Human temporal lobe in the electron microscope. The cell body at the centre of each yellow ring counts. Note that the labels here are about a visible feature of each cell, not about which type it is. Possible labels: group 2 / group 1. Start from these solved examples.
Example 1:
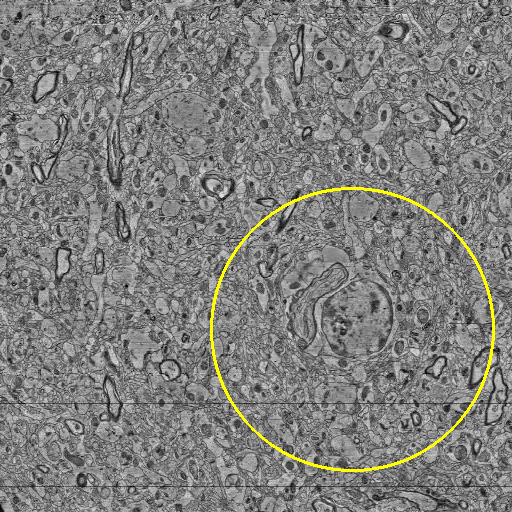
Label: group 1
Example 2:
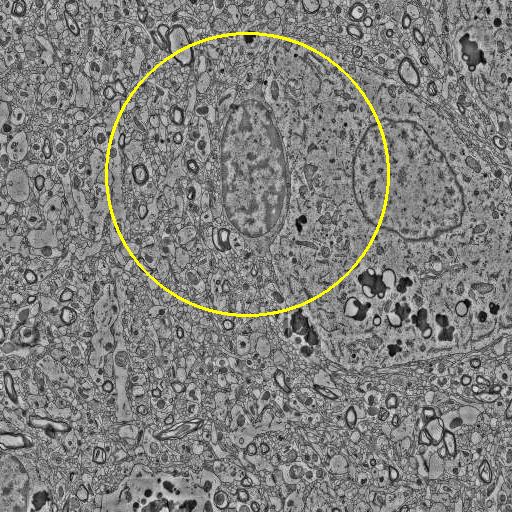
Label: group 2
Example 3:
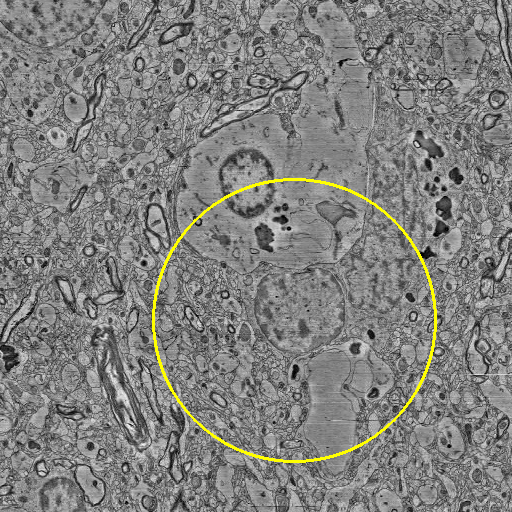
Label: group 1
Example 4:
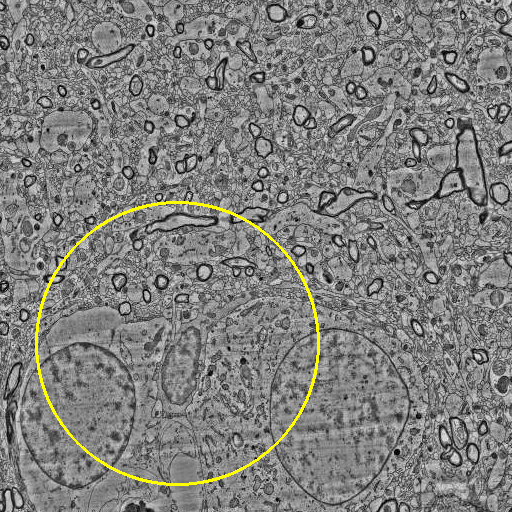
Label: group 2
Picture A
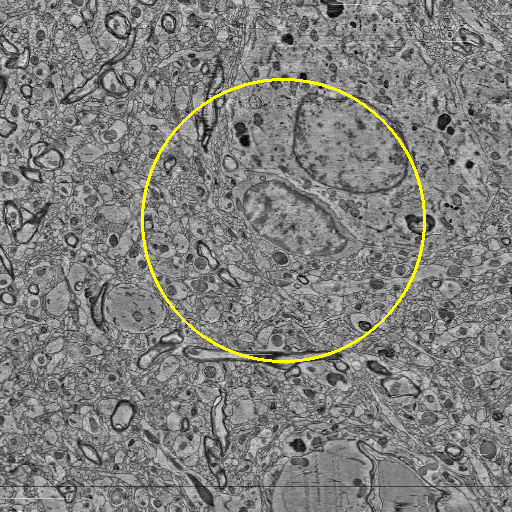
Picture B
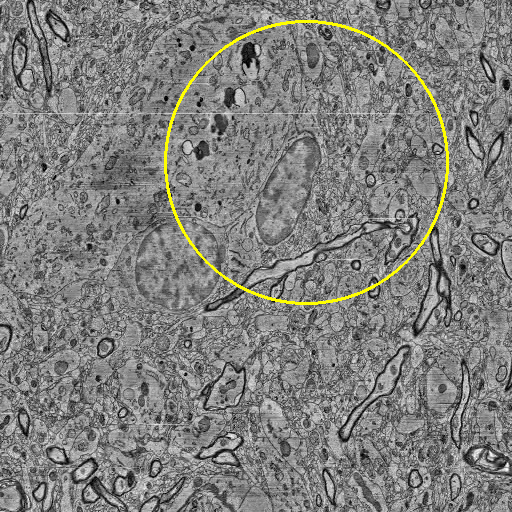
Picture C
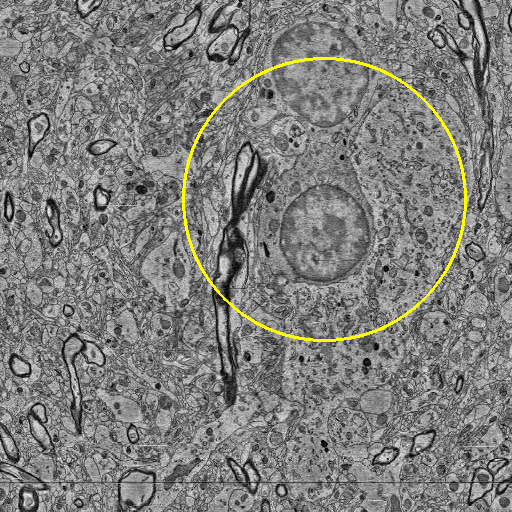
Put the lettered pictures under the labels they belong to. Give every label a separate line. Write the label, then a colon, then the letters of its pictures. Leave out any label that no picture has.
group 2: A, B
group 1: C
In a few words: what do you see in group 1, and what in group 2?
Seen in group 1: round or nearly round nuclei; seen in group 2: clearly elongated nuclei.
